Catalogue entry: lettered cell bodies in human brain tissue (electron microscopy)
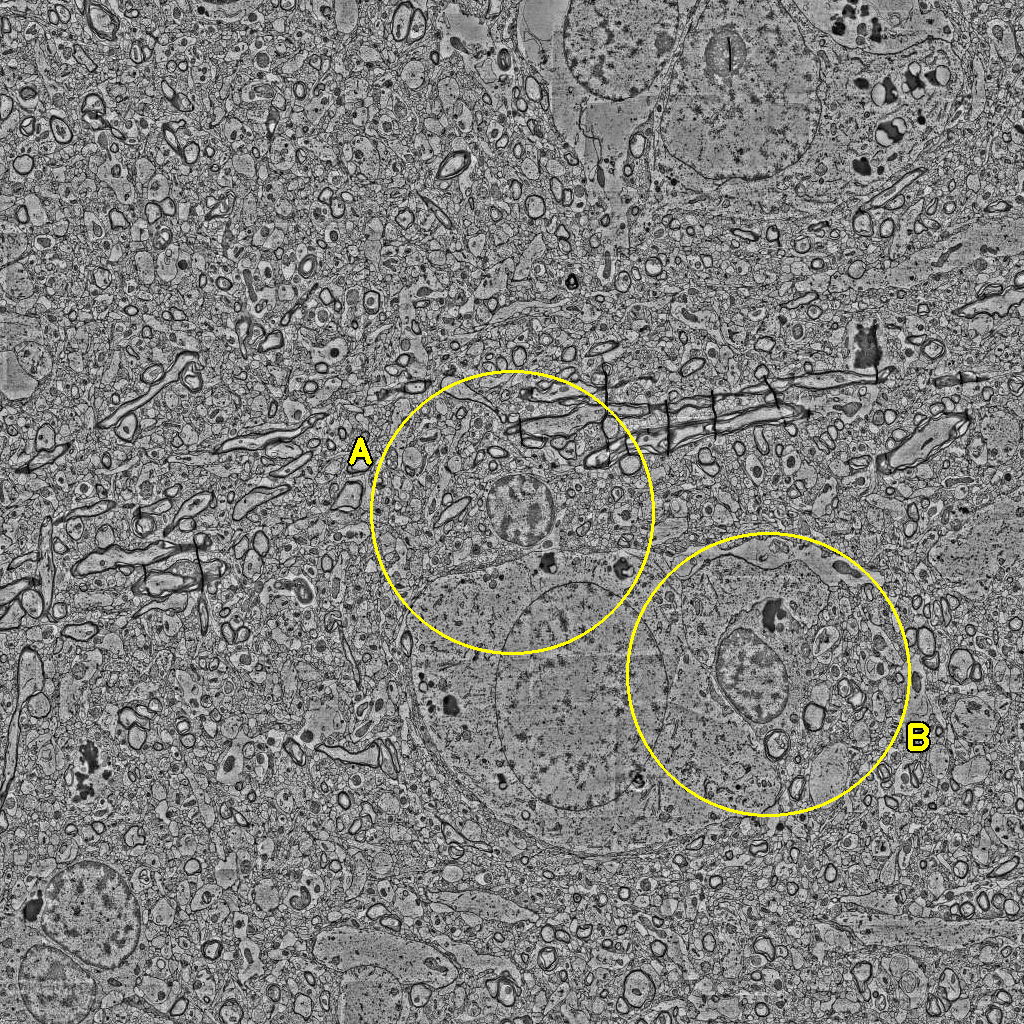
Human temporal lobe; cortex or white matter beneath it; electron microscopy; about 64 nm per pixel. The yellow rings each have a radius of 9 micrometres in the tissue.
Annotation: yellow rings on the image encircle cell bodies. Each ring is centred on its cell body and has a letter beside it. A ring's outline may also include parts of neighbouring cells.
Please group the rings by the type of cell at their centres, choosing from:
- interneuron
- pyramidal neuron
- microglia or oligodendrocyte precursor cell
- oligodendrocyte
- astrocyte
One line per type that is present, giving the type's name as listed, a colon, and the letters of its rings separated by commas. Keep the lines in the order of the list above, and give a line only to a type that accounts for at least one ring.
microglia or oligodendrocyte precursor cell: A
oligodendrocyte: B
